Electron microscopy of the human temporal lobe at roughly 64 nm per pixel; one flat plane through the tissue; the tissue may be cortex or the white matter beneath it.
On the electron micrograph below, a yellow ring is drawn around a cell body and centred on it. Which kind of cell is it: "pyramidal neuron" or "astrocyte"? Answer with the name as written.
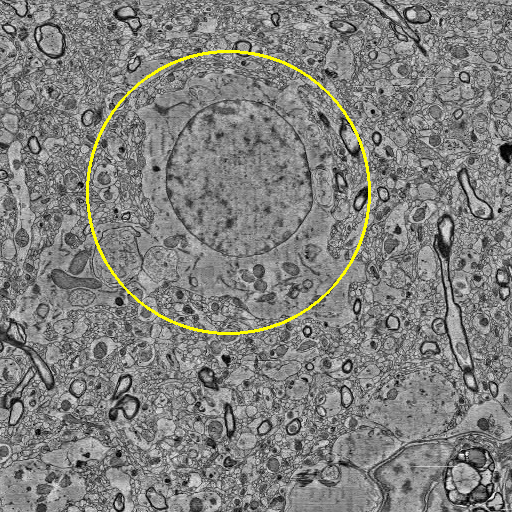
astrocyte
